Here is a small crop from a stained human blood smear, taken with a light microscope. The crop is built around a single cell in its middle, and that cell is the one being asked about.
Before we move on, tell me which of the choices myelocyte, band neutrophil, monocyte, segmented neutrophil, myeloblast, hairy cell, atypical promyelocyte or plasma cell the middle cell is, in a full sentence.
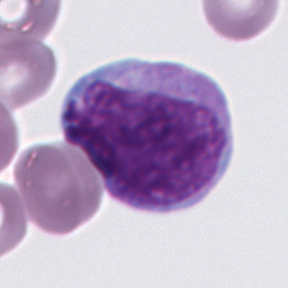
Present in the middle of the crop is an atypical promyelocyte.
